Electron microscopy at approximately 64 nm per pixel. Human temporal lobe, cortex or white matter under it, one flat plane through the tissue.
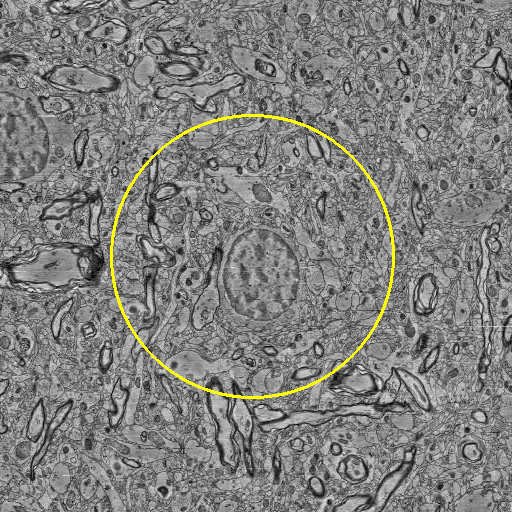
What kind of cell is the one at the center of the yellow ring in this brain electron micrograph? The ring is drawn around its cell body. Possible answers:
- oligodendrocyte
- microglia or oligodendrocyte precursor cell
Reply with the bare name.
oligodendrocyte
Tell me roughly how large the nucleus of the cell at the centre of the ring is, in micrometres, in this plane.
In this plane the nucleus is about 6 micrometres by 5.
